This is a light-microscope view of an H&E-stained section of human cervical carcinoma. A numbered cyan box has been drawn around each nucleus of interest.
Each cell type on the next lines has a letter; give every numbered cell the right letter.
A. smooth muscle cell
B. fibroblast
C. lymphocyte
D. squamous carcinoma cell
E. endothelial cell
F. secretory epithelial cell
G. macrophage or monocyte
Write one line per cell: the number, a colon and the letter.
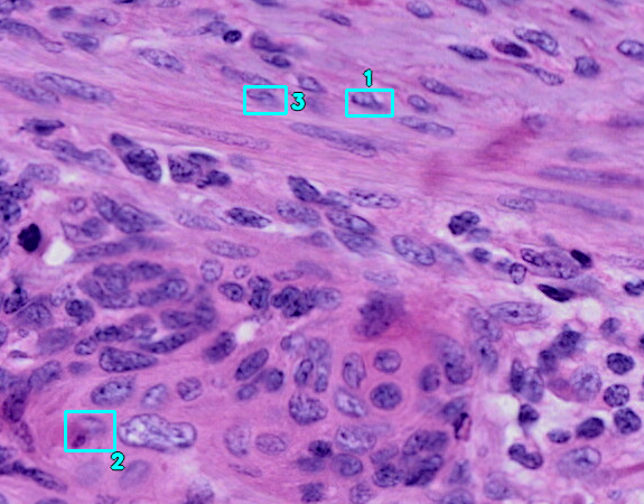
1: A
2: D
3: A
